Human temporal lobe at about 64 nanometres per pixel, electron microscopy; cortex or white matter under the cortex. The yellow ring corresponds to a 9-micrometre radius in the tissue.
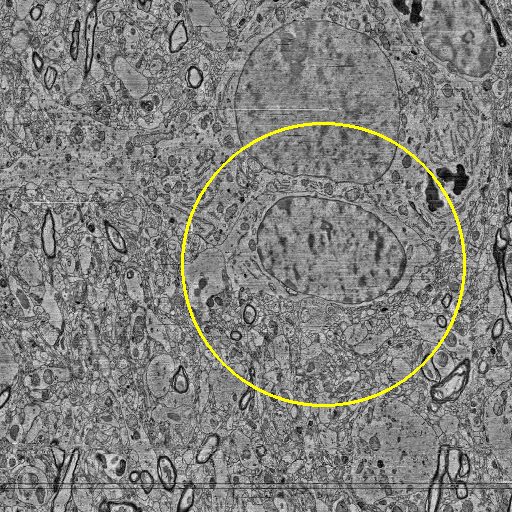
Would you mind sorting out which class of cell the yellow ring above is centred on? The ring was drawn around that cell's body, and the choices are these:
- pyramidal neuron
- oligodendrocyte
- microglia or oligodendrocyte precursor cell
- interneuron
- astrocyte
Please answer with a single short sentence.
This is the cell body of a microglial cell or oligodendrocyte precursor cell.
